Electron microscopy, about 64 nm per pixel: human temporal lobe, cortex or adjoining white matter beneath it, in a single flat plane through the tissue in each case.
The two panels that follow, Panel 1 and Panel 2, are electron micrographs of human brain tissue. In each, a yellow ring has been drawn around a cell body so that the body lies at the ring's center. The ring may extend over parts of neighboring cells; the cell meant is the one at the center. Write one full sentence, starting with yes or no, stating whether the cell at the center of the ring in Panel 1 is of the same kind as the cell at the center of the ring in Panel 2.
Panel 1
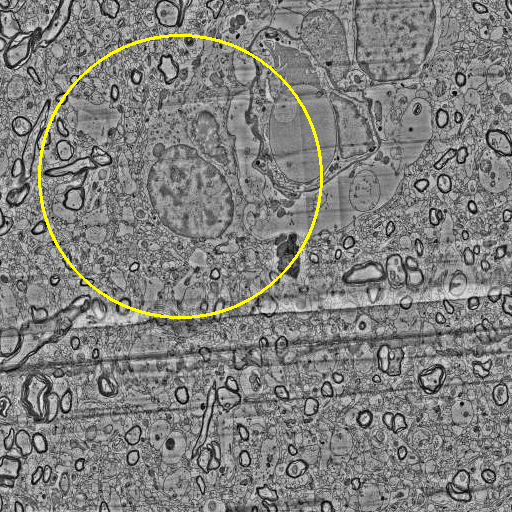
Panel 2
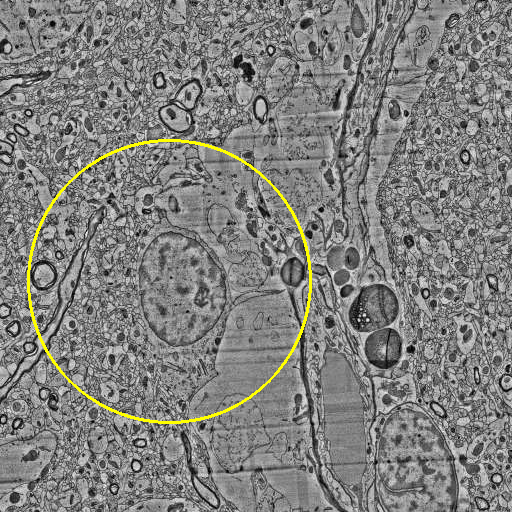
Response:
Yes, the cells in both panels are of the same kind.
